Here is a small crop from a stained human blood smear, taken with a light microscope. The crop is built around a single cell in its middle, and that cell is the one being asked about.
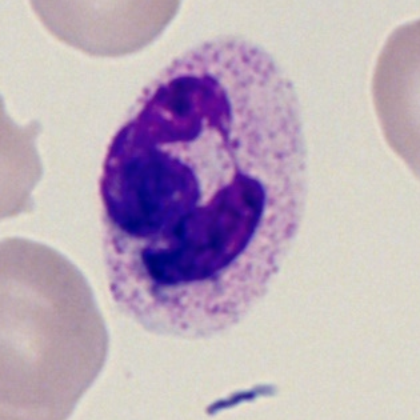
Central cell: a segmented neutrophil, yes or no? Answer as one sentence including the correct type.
Yes, the cell that is in the middle is a segmented neutrophil.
